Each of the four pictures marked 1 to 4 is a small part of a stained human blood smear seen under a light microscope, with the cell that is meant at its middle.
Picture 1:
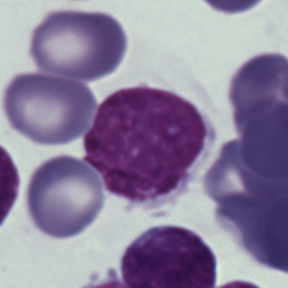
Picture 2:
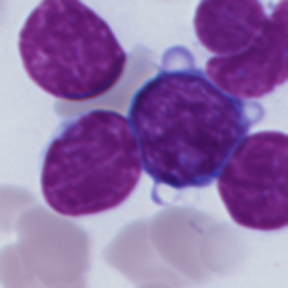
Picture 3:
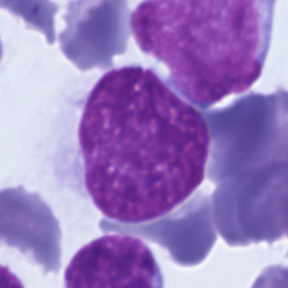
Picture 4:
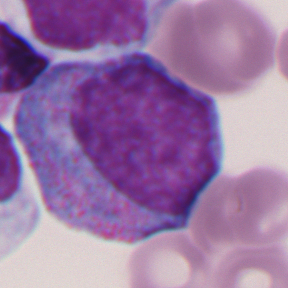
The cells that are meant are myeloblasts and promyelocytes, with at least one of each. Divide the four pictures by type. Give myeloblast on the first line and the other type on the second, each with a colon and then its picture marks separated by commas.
myeloblast: 1, 2, 3
promyelocyte: 4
